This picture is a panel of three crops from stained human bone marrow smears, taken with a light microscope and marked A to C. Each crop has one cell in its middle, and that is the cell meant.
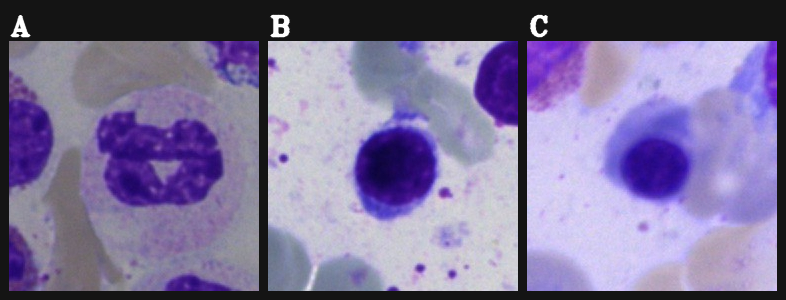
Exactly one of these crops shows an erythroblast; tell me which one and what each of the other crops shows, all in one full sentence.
The cell shown in crop C is an erythroblast, whereas crop A is a segmented neutrophil and crop B is a lymphocyte.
